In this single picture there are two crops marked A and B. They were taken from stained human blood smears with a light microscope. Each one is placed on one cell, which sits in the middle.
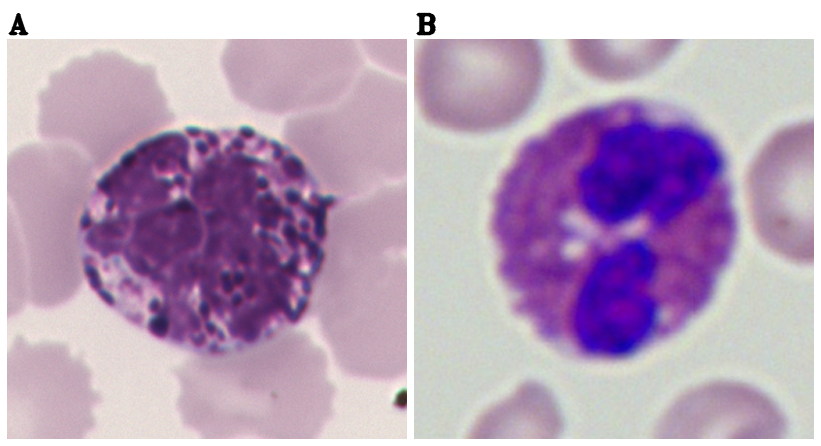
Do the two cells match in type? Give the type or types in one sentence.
No, just to correct that: crop A shows a basophil, crop B shows an eosinophil.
